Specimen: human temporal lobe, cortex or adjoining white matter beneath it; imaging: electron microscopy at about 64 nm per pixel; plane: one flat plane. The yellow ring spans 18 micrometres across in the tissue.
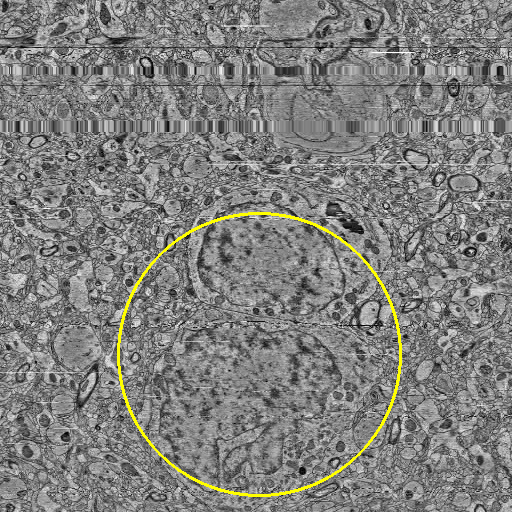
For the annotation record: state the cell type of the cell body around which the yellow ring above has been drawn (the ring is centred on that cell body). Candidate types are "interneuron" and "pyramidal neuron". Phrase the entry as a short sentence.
The ringed cell is an interneuron.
